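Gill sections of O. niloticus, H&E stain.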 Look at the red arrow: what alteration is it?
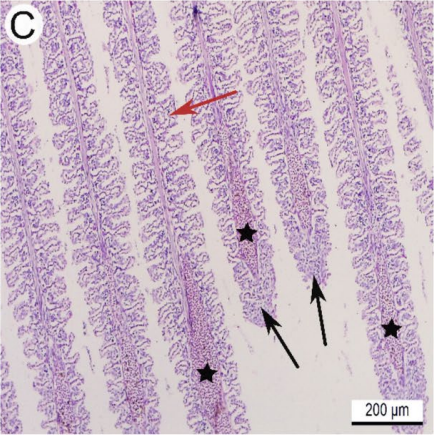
Epithelial lifting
